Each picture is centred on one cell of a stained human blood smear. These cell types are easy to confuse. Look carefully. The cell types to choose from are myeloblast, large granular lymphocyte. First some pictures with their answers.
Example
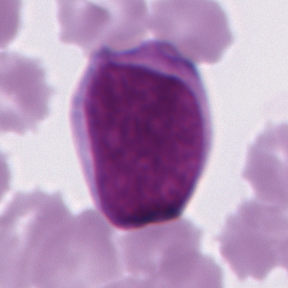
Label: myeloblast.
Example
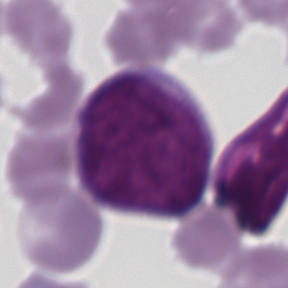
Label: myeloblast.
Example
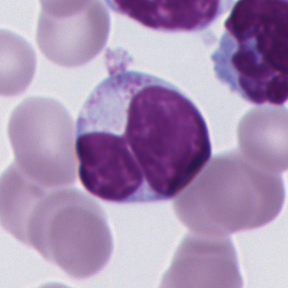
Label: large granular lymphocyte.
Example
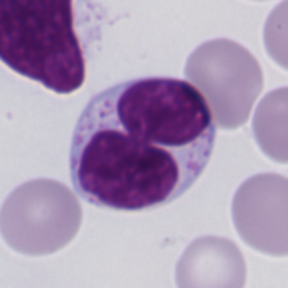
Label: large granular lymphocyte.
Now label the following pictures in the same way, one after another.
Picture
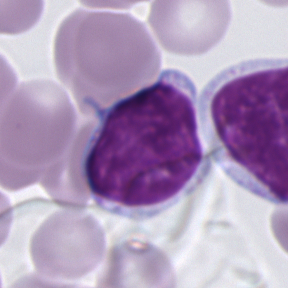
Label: large granular lymphocyte.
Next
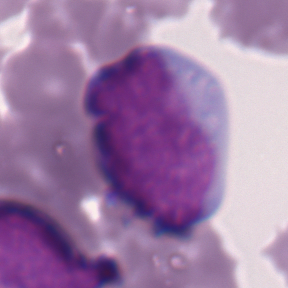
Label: myeloblast.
